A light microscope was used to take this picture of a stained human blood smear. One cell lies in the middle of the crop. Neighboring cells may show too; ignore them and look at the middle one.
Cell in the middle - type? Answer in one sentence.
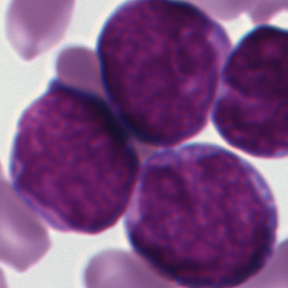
The central cell in this smear crop is a myeloblast.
